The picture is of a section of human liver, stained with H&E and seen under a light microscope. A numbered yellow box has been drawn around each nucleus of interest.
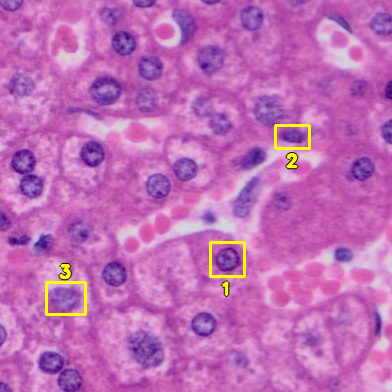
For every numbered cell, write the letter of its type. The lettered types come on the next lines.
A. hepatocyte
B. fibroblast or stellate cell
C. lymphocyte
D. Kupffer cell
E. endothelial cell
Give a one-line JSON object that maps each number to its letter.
{"1": "A", "2": "B", "3": "A"}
